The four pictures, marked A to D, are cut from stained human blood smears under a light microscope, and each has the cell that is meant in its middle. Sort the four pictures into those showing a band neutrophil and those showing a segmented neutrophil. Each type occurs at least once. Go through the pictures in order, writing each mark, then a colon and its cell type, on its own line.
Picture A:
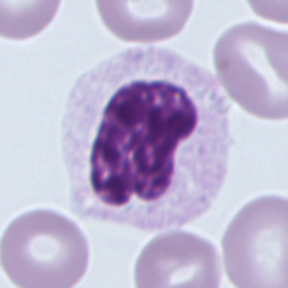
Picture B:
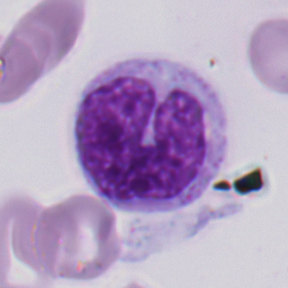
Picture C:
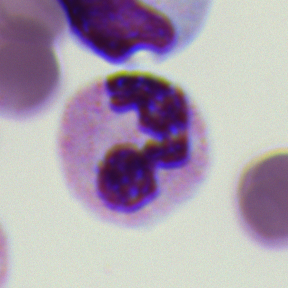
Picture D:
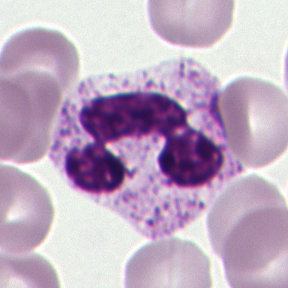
A: segmented neutrophil
B: band neutrophil
C: segmented neutrophil
D: segmented neutrophil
